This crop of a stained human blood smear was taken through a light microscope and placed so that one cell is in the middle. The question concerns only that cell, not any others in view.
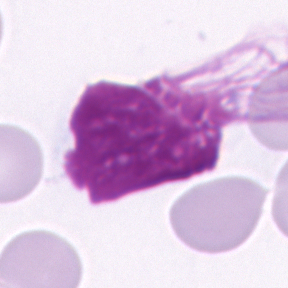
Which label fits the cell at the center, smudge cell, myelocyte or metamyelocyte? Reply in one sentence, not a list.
The cell at the central position in this crop is a smudge cell.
